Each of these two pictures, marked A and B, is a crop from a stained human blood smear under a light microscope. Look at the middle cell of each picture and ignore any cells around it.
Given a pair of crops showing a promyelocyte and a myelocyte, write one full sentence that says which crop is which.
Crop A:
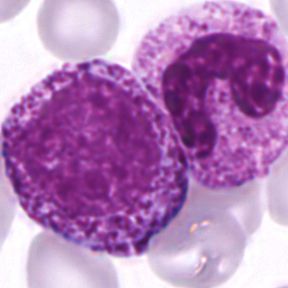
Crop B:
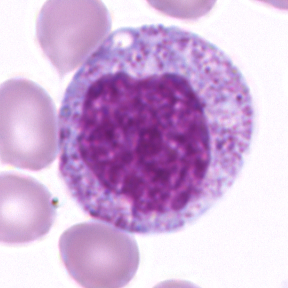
Whereas crop A contains a promyelocyte, crop B contains a myelocyte.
